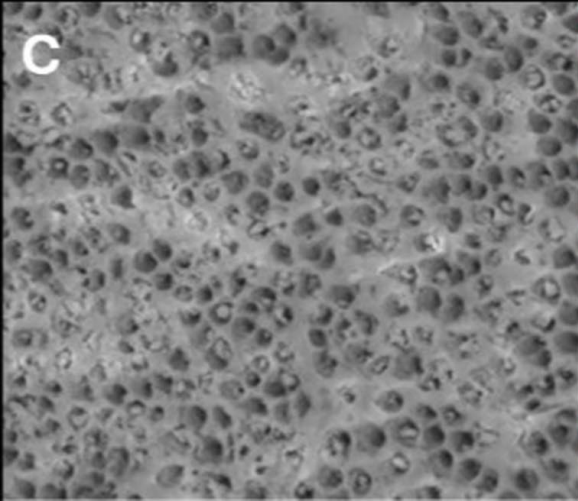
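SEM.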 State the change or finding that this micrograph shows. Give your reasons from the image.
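The round openings are shallow and grey rather than dark and empty. Many openings are partly filled with irregular material. So: dentinal tubule occlusion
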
